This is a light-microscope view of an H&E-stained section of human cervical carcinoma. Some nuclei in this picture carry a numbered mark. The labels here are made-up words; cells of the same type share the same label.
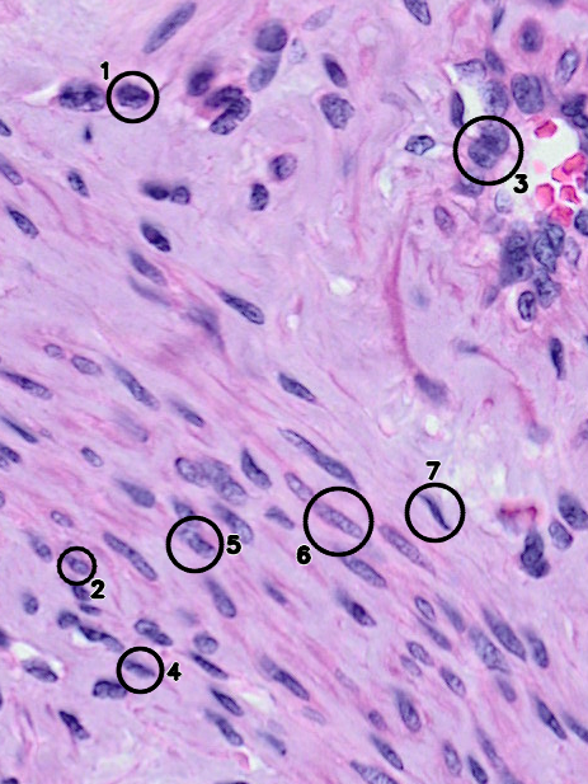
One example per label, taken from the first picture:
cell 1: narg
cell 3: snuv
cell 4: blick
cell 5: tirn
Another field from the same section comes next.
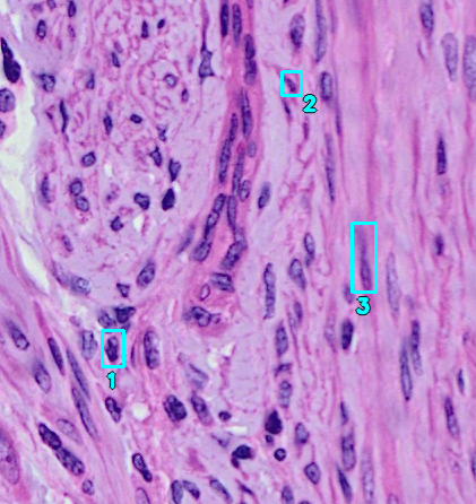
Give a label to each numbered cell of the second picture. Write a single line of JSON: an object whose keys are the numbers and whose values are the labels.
{"1": "narg", "2": "tirn", "3": "tirn"}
